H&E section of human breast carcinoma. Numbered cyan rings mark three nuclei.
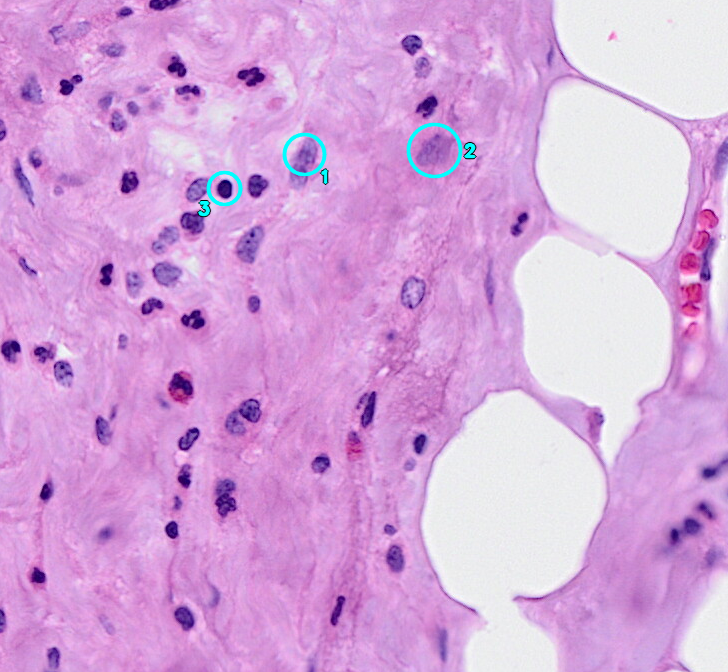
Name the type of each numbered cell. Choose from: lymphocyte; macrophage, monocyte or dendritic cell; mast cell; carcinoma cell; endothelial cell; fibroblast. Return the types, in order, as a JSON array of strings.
["fibroblast", "fibroblast", "lymphocyte"]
